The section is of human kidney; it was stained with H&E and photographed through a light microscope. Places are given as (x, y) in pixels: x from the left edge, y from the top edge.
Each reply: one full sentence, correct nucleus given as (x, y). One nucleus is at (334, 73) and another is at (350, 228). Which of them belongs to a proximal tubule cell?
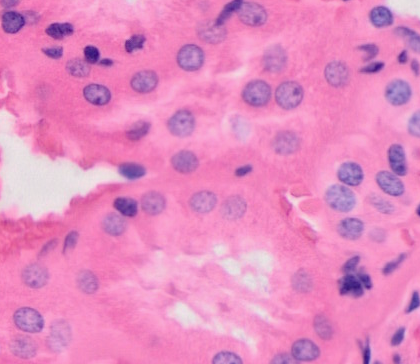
The nucleus at (334, 73) is the one that belongs to a proximal tubule cell.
